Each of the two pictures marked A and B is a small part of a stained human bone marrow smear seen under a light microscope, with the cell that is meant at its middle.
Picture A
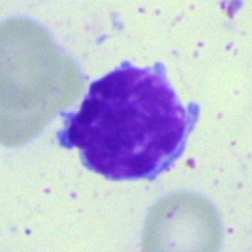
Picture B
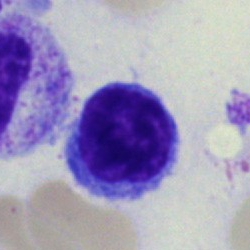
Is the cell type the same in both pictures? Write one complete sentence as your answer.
Yes, both are lymphocytes.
